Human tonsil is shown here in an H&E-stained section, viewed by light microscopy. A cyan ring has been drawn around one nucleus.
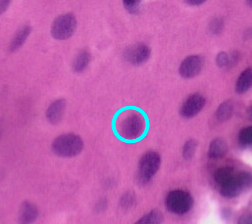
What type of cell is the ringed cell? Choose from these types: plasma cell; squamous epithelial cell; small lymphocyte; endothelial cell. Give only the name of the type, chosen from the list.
squamous epithelial cell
